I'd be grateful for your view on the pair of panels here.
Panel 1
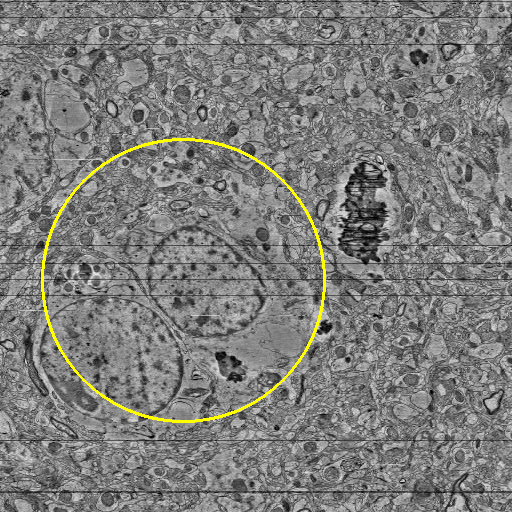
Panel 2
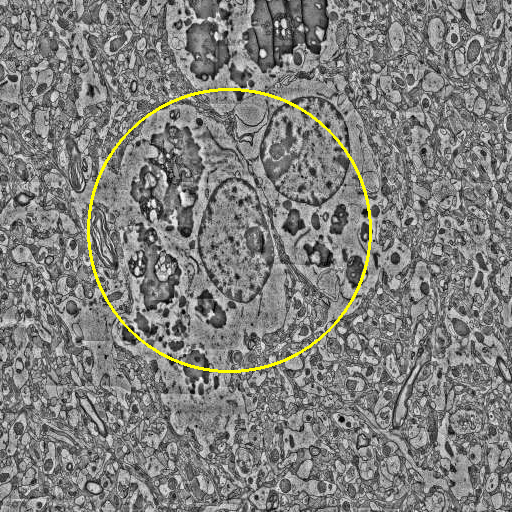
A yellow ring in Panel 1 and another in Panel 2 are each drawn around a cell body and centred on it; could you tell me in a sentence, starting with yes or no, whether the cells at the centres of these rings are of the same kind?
Yes, they are the same kind of cell.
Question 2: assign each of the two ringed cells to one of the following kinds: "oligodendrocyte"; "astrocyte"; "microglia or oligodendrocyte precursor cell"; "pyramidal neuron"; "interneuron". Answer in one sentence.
Both pictures show an astrocyte at the centre of the ring.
